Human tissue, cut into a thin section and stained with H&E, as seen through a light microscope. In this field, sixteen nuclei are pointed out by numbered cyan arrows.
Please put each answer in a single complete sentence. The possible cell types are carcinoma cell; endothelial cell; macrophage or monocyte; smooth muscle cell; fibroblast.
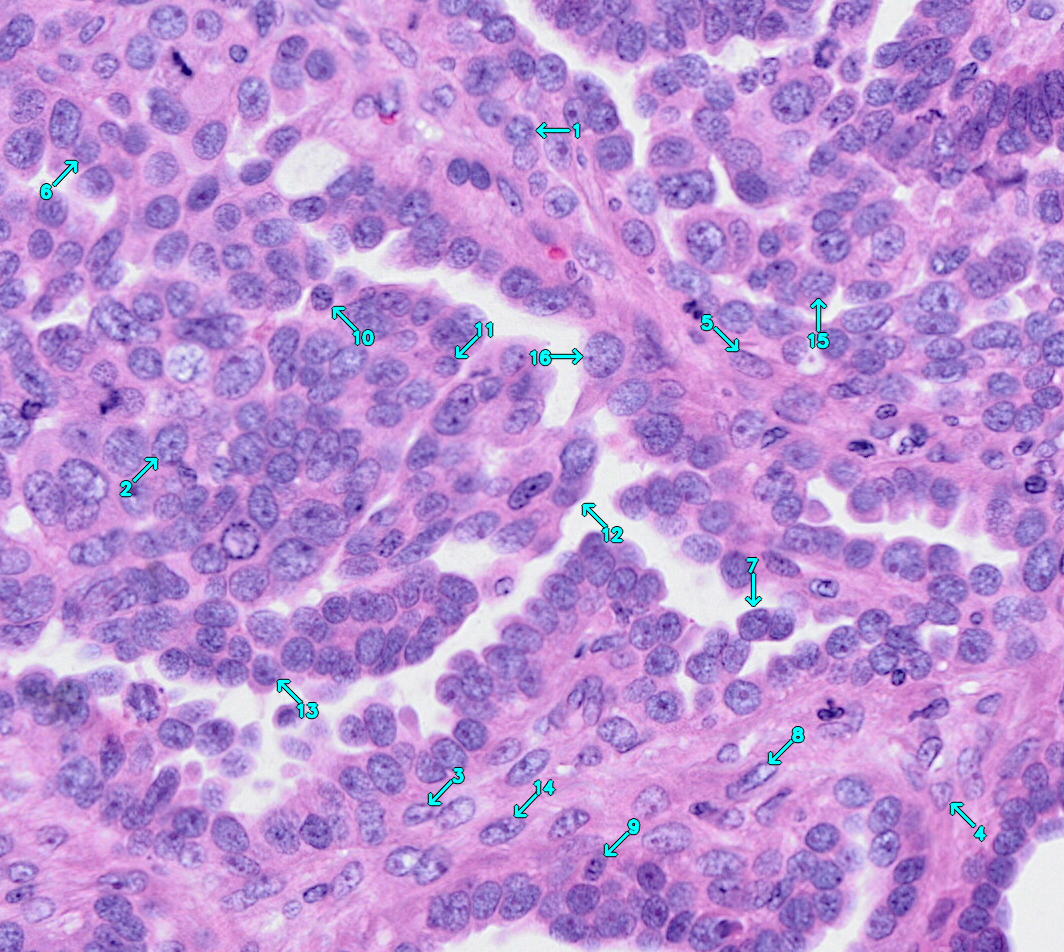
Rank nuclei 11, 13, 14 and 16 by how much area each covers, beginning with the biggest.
Going from the biggest nucleus down to the smallest gives 16, 14, 13, 11.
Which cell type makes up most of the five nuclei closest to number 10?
Carcinoma cells account for more than half of the five nuclei nearest to number 10.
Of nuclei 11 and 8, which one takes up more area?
Nucleus 8 is the larger one, covering about 2.5 times the area of nucleus 11.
